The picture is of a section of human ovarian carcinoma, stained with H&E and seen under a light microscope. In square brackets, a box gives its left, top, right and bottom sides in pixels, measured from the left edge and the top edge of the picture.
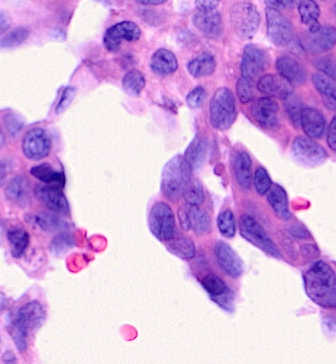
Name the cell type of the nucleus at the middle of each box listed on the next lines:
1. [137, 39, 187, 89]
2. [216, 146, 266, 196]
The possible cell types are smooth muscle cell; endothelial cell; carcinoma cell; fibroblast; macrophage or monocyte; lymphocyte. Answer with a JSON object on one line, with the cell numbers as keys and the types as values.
{"1": "macrophage or monocyte", "2": "carcinoma cell"}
